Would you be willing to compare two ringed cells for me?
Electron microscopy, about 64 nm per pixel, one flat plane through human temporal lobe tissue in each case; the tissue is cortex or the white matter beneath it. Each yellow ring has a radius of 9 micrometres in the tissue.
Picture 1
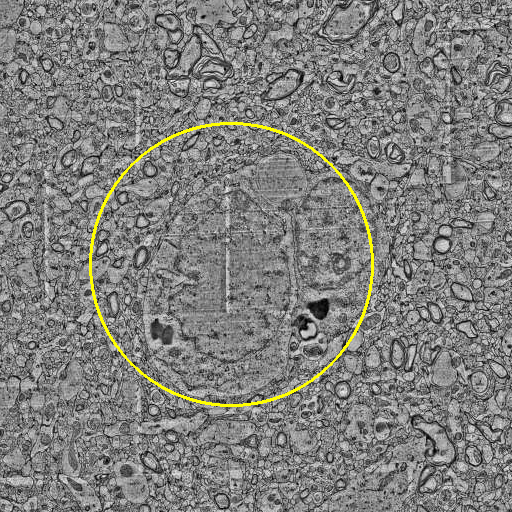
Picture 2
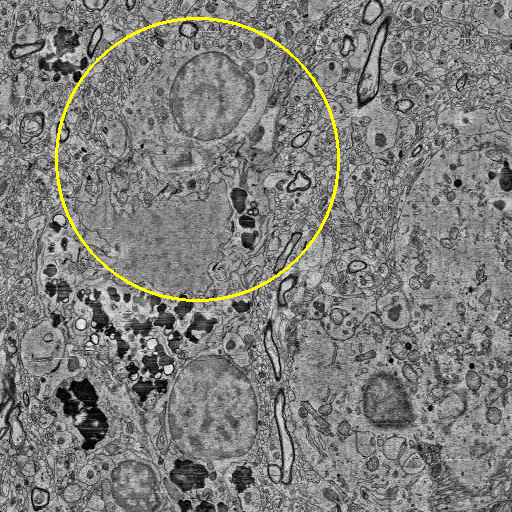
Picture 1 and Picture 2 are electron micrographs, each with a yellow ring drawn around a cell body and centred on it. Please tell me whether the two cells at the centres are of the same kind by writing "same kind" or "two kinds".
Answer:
two kinds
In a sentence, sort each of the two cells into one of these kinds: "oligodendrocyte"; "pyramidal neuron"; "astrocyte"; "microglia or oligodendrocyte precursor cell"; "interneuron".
The first of the two cells is an interneuron, and the second is an oligodendrocyte.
